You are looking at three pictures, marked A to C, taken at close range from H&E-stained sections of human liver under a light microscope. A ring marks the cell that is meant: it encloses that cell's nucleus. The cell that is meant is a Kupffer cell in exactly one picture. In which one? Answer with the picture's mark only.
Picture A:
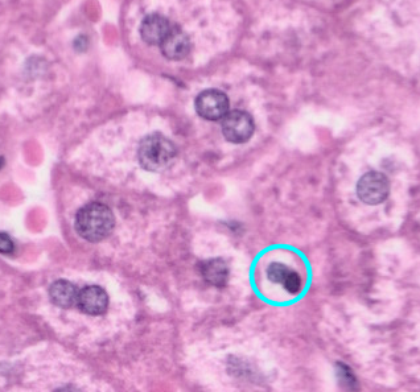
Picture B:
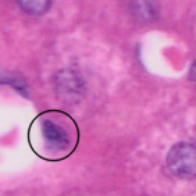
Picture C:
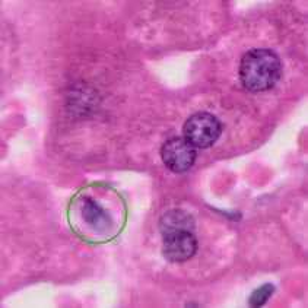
C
